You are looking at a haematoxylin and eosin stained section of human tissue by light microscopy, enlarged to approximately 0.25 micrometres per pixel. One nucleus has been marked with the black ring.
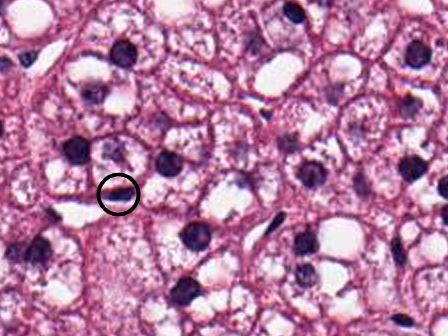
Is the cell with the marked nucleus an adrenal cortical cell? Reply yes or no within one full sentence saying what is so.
No, what the marked nucleus belongs to is a supporting cell, not an adrenal cortical cell.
